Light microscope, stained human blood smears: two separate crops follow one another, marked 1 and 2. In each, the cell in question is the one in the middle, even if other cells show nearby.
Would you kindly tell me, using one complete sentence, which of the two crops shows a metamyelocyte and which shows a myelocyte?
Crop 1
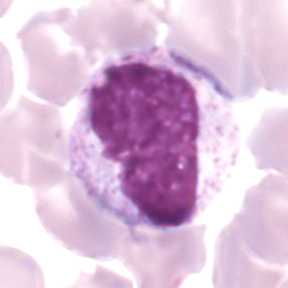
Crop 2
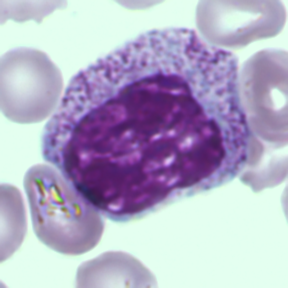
In crop 1 the cell is a metamyelocyte, while in crop 2 it is a myelocyte.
